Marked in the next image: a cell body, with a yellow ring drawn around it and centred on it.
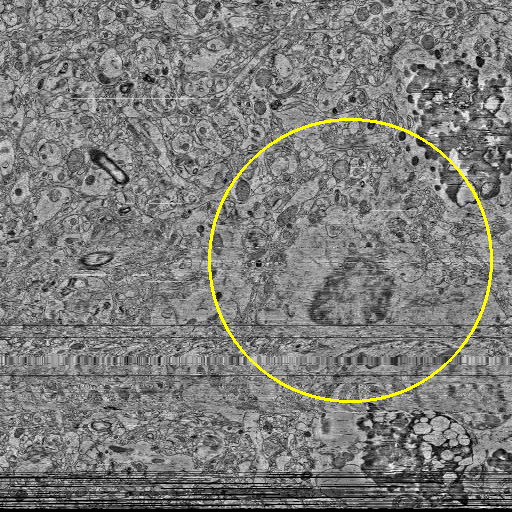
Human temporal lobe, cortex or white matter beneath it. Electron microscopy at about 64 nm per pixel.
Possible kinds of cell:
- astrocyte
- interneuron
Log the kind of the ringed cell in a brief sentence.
The ringed cell body is that of an astrocyte.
